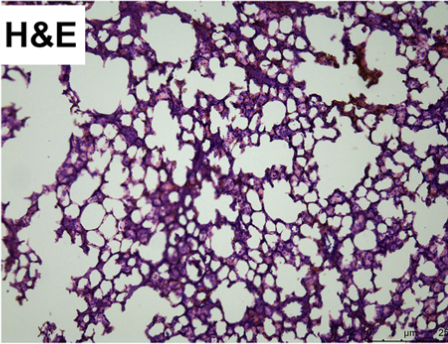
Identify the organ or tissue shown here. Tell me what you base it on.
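A meshwork of rounded empty air spaces fills the field. The air spaces are separated by purple-staining septa. The answer: lung tissues.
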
